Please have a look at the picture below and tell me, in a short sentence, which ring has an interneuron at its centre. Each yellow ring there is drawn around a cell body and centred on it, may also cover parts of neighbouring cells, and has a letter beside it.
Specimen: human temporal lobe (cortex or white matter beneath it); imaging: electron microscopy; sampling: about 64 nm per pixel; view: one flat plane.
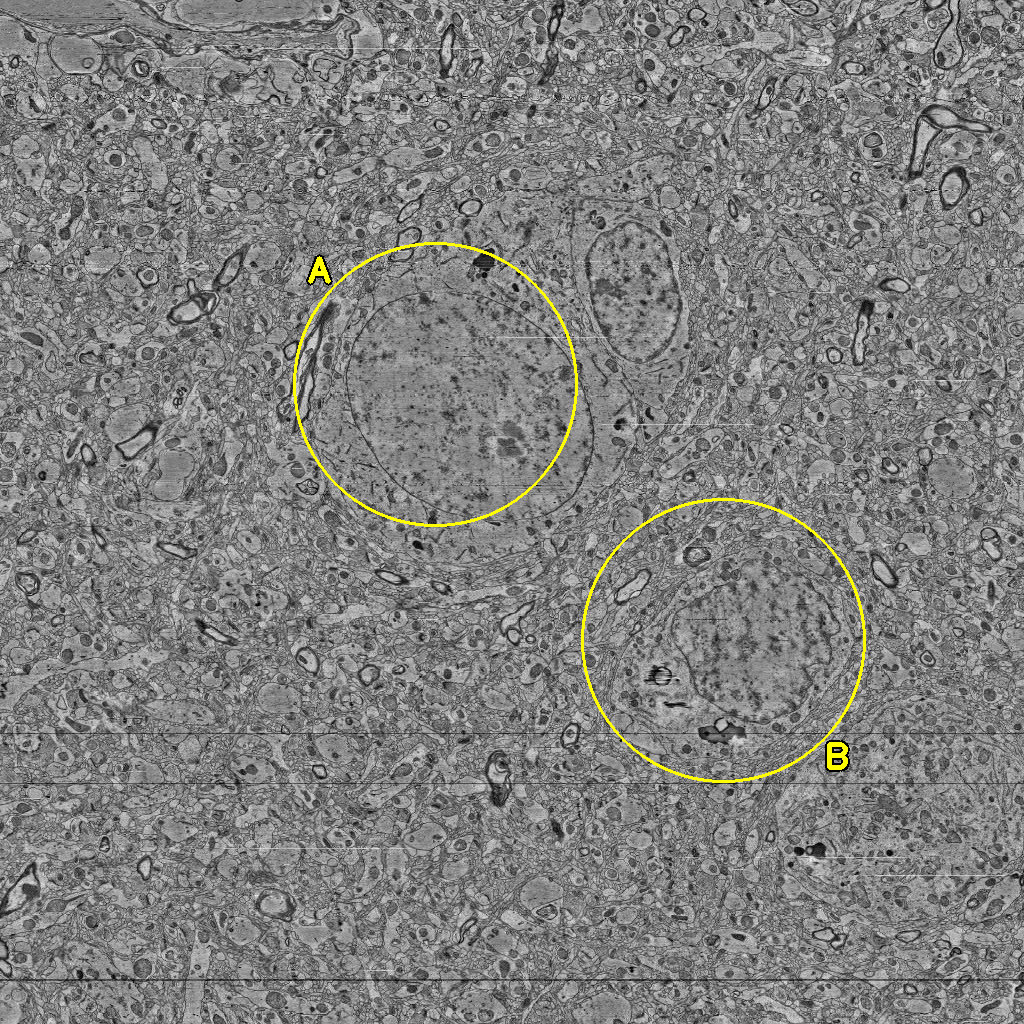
Ring B is centred on it.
